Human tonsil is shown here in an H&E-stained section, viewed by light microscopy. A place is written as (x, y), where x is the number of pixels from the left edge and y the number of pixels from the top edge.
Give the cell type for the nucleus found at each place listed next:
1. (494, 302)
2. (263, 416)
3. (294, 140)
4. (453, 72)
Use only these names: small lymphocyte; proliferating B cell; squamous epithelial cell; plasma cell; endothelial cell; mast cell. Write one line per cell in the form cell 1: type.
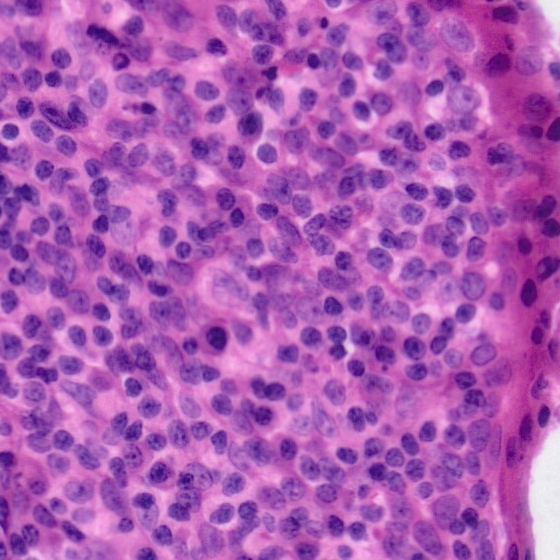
cell 1: squamous epithelial cell
cell 2: plasma cell
cell 3: squamous epithelial cell
cell 4: squamous epithelial cell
